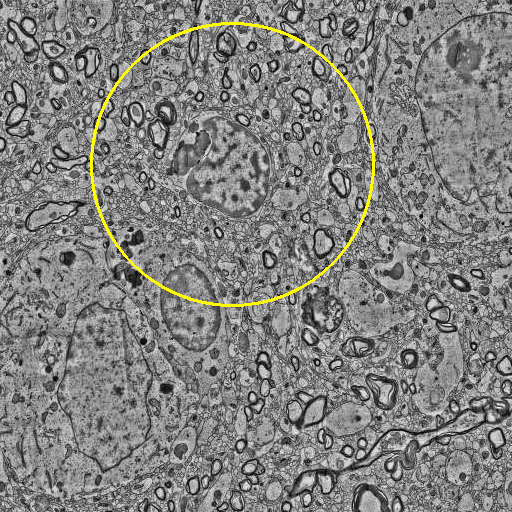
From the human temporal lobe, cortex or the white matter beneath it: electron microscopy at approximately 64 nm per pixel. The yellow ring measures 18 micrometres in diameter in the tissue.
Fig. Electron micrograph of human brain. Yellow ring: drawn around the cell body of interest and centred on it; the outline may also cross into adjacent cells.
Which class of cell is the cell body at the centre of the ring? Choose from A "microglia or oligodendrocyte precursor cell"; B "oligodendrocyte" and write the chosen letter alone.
A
